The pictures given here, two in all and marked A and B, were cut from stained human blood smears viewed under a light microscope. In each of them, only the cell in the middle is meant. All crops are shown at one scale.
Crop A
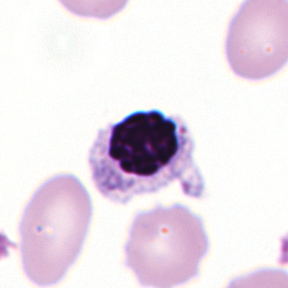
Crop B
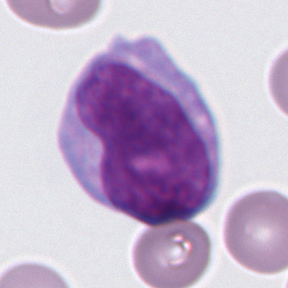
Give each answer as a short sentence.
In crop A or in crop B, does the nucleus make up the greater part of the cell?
In crop B the nucleus takes up the larger part of its cell.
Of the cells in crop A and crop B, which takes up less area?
Smaller is the cell in crop A, and the other is about 3 times as large in area.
